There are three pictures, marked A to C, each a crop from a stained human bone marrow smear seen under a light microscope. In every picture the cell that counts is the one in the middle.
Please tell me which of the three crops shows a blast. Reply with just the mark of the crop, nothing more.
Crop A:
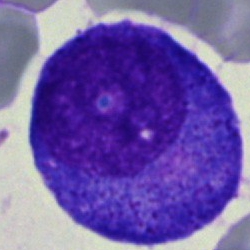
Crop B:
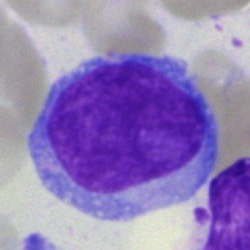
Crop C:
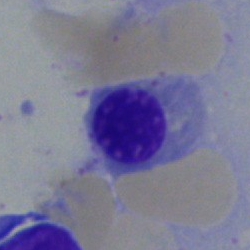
B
